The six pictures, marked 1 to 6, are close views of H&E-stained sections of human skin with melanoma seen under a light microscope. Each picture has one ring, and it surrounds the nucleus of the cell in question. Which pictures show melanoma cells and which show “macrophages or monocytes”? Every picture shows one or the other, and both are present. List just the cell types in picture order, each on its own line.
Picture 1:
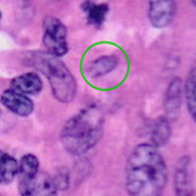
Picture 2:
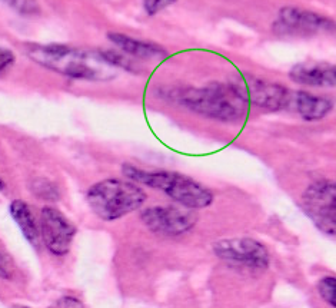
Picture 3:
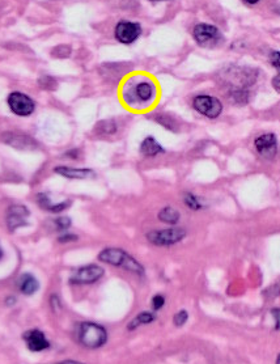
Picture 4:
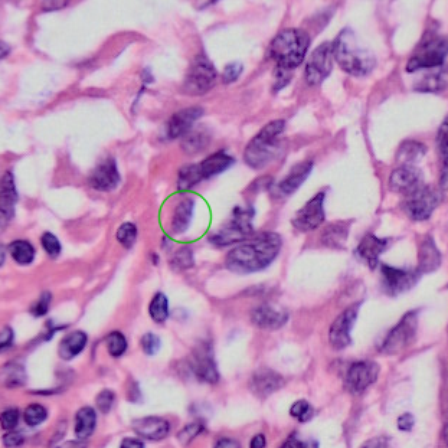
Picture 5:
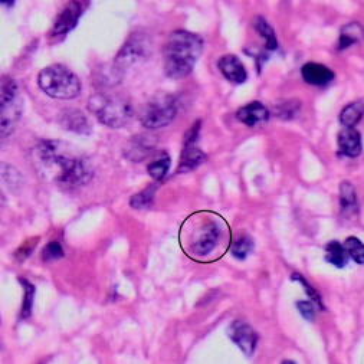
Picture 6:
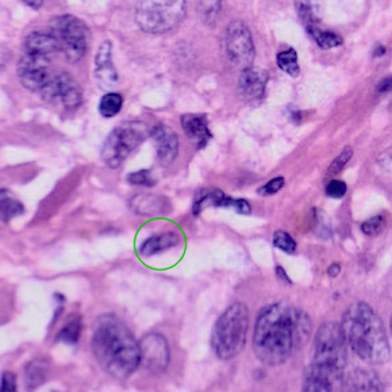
macrophage or monocyte
melanoma cell
macrophage or monocyte
melanoma cell
macrophage or monocyte
macrophage or monocyte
